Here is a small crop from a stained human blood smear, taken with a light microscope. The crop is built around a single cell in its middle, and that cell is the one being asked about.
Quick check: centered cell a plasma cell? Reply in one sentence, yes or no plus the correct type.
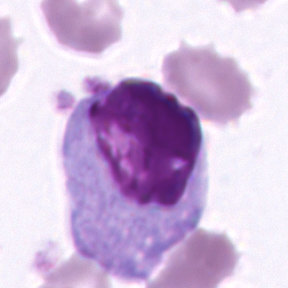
Yes, in the middle of the crop is a plasma cell.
